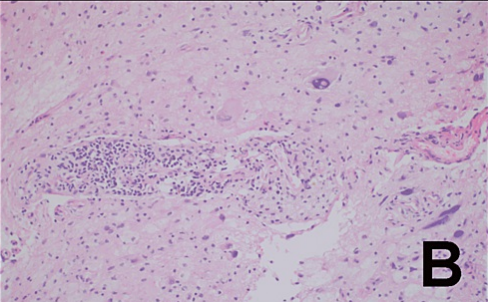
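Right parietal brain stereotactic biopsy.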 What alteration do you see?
Perivascular chronic inflammation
